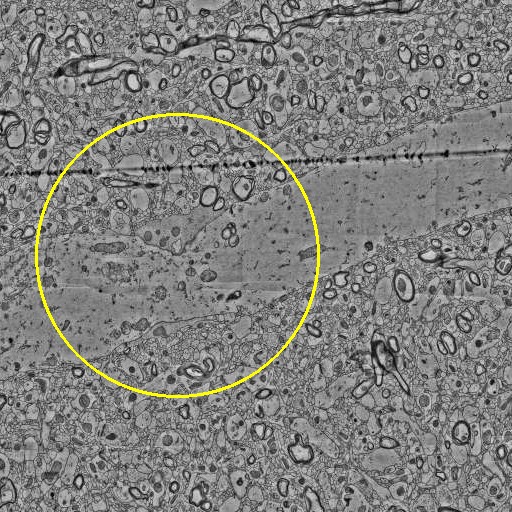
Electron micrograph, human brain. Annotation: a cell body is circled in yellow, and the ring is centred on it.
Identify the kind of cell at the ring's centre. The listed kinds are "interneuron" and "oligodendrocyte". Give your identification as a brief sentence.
The circled cell body is that of an oligodendrocyte.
